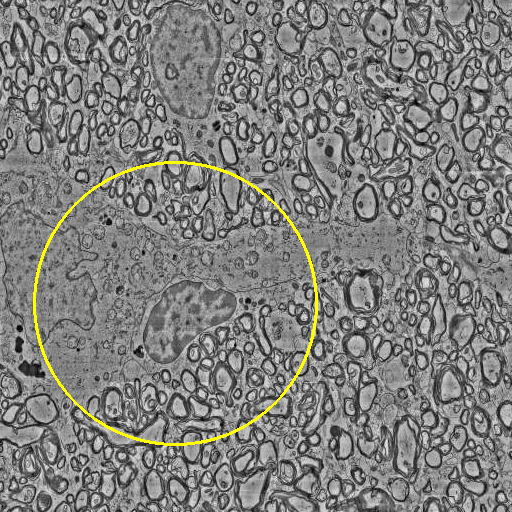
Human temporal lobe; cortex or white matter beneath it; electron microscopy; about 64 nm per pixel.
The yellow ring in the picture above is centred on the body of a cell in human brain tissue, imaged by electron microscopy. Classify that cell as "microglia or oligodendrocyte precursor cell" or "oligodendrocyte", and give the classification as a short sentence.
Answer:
The cell in the middle of the ring is a microglial cell or oligodendrocyte precursor cell.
